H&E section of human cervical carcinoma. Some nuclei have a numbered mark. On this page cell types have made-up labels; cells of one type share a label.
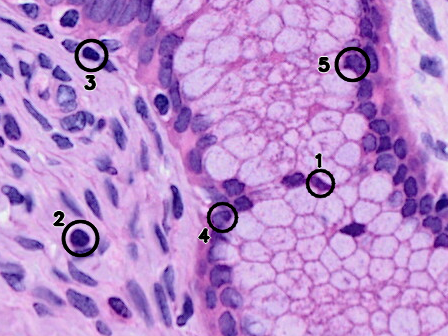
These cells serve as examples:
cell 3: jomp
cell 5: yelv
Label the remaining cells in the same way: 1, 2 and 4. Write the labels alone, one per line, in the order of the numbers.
yelv
jomp
yelv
